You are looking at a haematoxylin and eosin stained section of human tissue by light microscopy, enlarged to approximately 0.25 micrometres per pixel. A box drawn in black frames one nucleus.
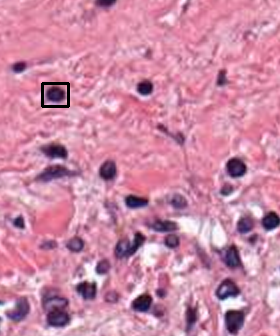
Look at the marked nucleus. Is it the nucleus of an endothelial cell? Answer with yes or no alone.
no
